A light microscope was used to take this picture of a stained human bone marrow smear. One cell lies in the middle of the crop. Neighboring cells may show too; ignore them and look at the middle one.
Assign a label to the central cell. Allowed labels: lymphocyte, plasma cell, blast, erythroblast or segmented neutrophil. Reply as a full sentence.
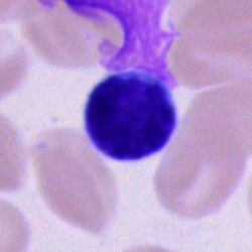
The target cell in the middle of the crop is a lymphocyte.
